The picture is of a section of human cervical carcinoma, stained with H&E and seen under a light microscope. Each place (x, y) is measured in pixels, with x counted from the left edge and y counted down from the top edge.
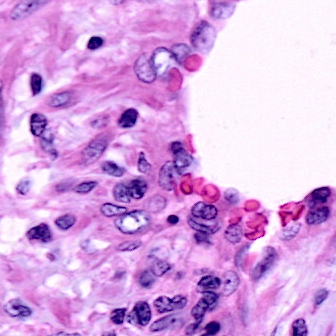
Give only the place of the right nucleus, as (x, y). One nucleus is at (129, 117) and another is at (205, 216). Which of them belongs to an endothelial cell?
(205, 216)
